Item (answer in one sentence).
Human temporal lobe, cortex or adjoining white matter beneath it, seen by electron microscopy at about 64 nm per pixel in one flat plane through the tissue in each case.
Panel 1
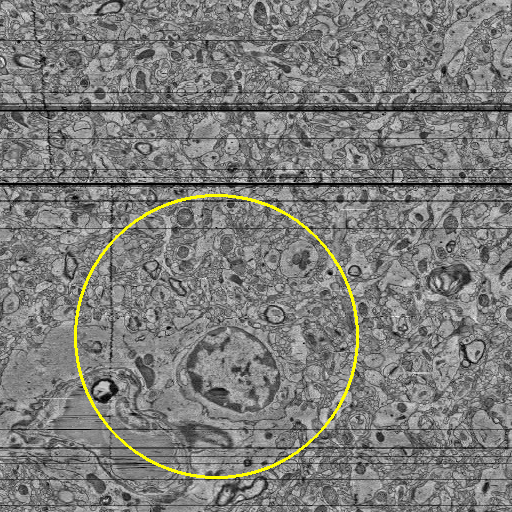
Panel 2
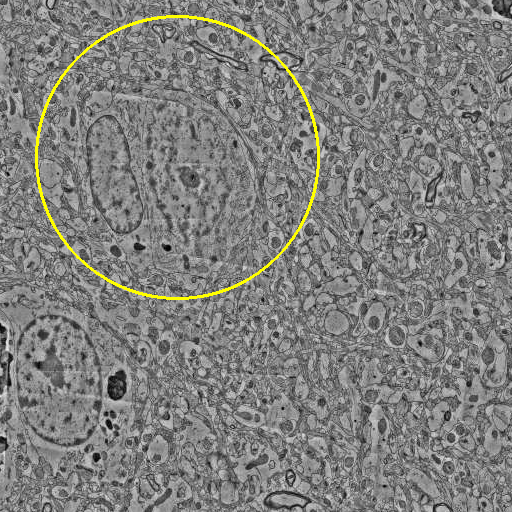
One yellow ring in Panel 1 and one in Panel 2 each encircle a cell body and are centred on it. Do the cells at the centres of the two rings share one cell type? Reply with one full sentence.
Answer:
No, Panel 1 and Panel 2 show cells of two types at the centres of their rings.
